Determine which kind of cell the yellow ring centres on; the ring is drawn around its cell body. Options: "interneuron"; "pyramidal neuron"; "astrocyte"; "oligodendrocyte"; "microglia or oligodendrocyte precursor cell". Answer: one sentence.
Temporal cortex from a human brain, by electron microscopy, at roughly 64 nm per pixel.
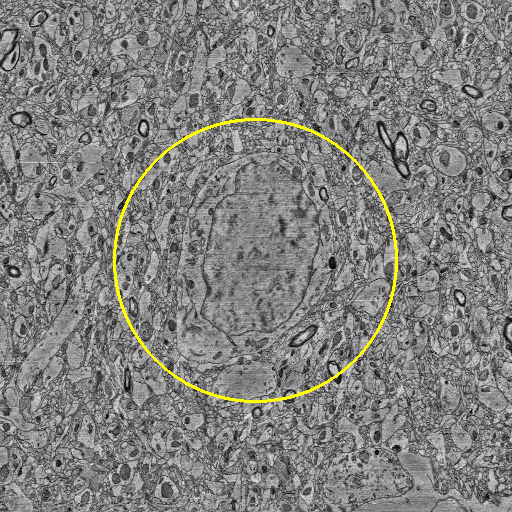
The ring centres on an interneuron.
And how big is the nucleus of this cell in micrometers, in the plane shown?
The nucleus comes to approximately 12 by 7 micrometres and is clearly longer than it is wide in this plane.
